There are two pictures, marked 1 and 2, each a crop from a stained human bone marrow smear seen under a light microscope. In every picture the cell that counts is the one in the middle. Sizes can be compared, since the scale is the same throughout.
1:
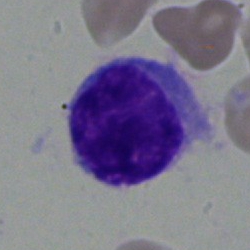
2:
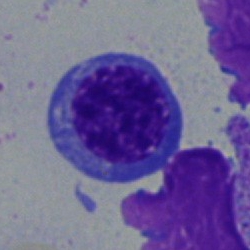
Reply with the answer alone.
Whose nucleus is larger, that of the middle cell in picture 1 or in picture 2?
1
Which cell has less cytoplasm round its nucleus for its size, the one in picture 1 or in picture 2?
1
